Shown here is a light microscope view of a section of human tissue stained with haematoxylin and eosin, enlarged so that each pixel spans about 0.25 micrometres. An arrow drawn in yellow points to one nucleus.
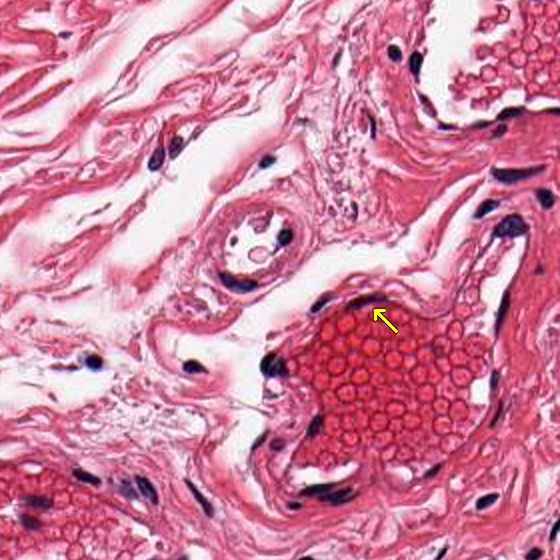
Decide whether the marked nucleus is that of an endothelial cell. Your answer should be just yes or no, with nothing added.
yes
